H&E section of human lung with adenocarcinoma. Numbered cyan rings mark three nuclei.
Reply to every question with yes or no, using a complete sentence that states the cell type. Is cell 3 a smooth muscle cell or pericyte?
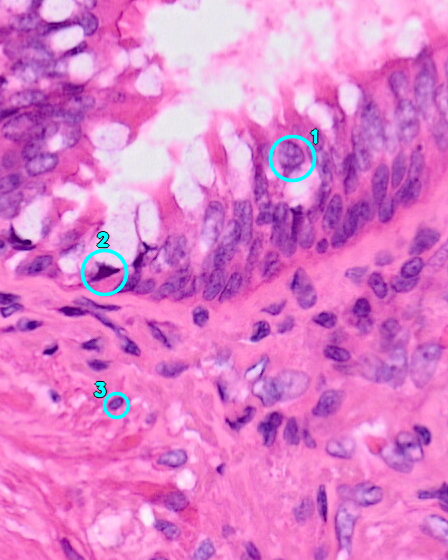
Yes, the cell that bears number 3 is a smooth muscle cell or pericyte.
